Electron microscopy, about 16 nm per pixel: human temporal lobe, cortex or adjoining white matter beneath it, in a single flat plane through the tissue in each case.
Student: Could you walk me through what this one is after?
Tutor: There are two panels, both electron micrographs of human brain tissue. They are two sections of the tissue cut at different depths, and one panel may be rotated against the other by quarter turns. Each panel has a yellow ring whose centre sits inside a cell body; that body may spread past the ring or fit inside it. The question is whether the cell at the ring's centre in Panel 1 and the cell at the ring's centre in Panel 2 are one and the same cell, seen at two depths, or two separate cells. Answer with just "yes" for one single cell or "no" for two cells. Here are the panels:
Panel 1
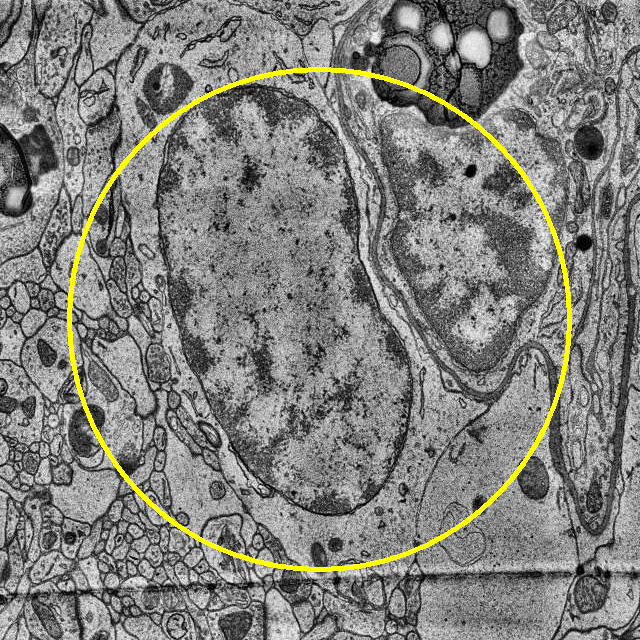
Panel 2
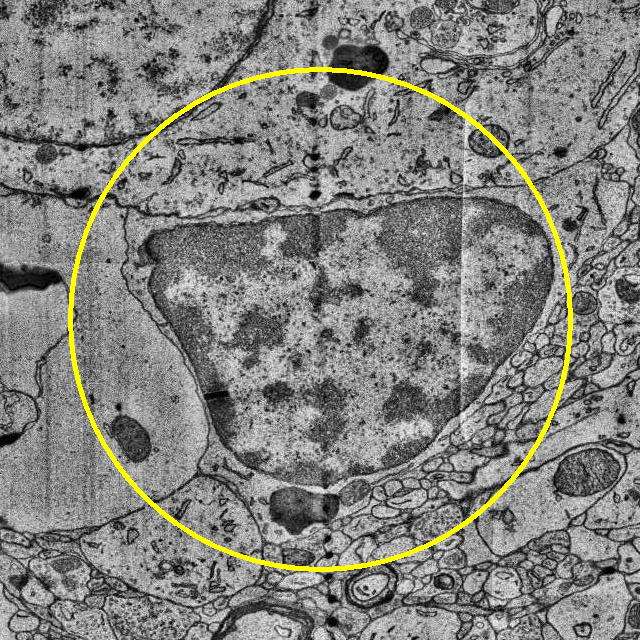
no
